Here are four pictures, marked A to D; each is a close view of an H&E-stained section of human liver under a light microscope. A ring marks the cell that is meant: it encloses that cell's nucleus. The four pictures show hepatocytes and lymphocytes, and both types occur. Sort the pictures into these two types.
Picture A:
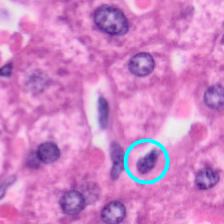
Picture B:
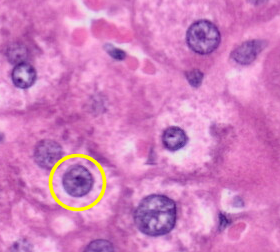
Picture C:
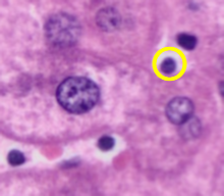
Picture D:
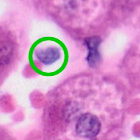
A: lymphocyte
B: hepatocyte
C: lymphocyte
D: lymphocyte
